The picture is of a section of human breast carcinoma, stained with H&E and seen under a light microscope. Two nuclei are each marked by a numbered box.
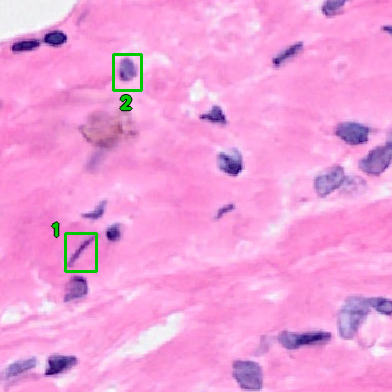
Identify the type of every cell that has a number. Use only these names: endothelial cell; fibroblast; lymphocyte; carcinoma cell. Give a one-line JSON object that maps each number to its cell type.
{"1": "fibroblast", "2": "lymphocyte"}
